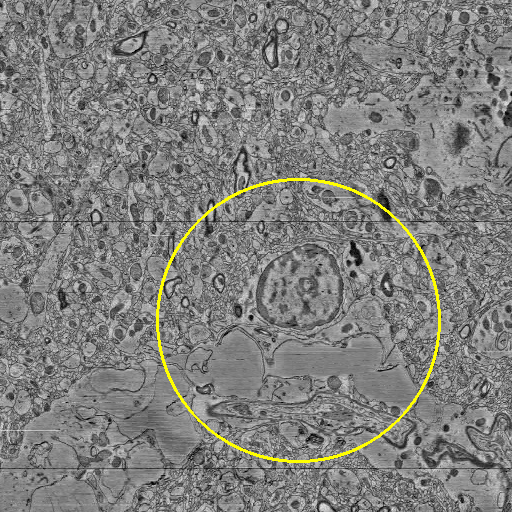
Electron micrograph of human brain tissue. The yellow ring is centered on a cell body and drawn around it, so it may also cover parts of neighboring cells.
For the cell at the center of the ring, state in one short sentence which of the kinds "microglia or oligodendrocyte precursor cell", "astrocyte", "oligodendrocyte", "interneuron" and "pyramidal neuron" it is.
This ring is centered on a microglial cell or oligodendrocyte precursor cell.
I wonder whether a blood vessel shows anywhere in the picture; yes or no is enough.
Yes, one appears.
